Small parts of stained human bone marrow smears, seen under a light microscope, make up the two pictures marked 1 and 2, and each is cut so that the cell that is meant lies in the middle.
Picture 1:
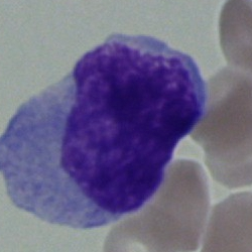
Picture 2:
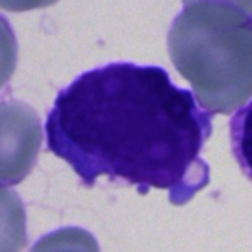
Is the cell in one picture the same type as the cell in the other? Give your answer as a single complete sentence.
Yes, they are the same type: both are blasts.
